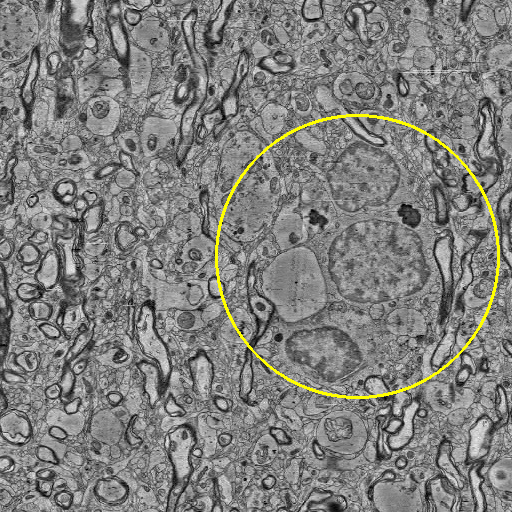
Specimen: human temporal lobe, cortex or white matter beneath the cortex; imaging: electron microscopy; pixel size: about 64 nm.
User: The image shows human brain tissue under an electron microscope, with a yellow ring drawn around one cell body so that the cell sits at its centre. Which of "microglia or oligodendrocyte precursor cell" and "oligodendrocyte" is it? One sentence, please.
At the centre of the ring sits an oligodendrocyte.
